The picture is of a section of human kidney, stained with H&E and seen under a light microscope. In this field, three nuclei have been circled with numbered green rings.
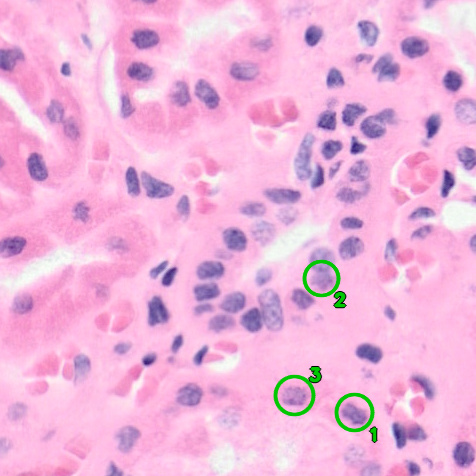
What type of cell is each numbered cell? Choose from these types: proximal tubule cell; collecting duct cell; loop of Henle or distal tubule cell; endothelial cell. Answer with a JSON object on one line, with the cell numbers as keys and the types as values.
{"1": "proximal tubule cell", "2": "collecting duct cell", "3": "proximal tubule cell"}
